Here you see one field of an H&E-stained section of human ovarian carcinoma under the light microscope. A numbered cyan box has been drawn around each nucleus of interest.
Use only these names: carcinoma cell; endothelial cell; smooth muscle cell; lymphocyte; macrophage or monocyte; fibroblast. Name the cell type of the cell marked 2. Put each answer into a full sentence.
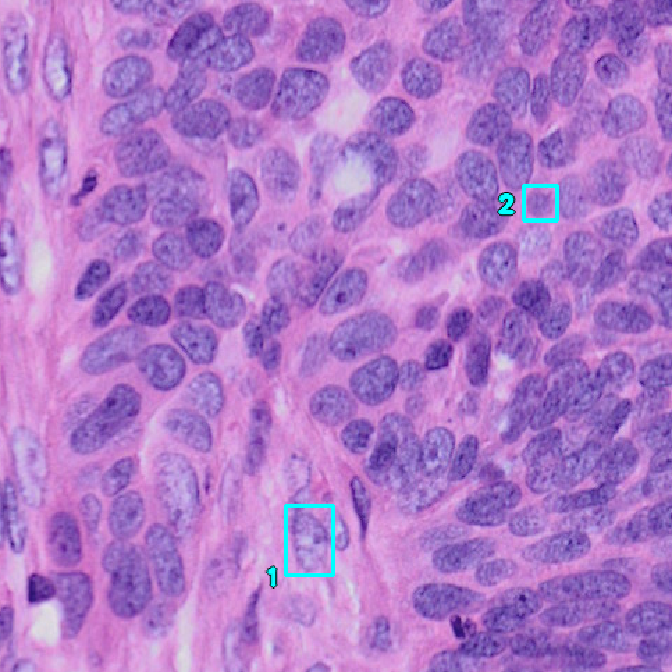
Classified as a carcinoma cell is the cell with the number 2.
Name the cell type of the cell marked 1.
Cell number 1 in this section is a fibroblast.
